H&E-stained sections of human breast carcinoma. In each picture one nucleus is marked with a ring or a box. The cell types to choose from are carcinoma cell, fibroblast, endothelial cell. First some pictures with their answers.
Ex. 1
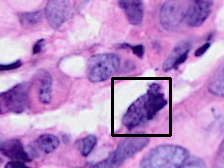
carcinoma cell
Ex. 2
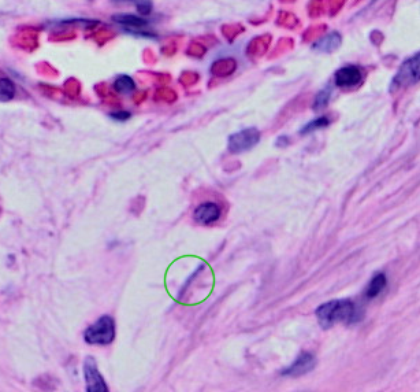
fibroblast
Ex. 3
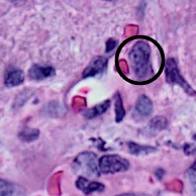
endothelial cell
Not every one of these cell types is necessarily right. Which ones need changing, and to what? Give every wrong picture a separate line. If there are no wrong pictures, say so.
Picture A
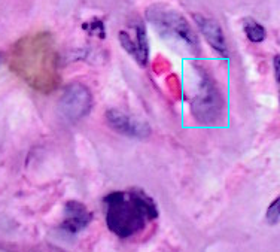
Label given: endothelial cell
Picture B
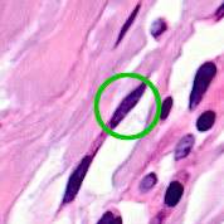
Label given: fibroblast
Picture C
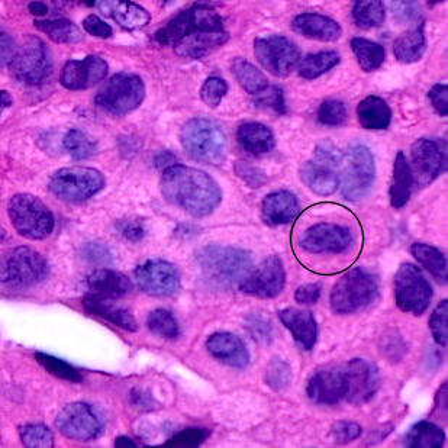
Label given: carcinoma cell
No label is wrong.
